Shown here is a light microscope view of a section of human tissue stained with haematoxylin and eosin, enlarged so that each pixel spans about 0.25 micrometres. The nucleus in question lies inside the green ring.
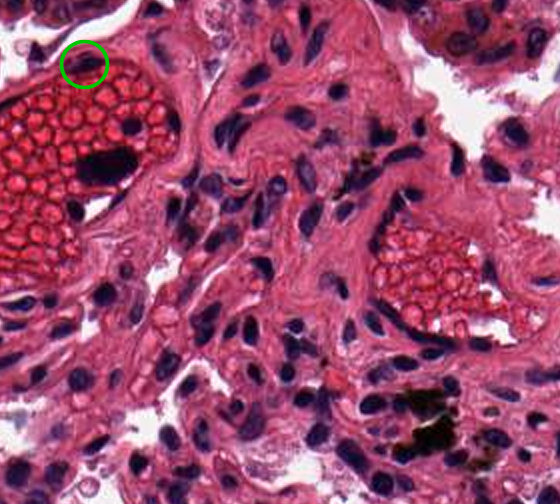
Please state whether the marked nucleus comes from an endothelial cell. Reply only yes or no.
yes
